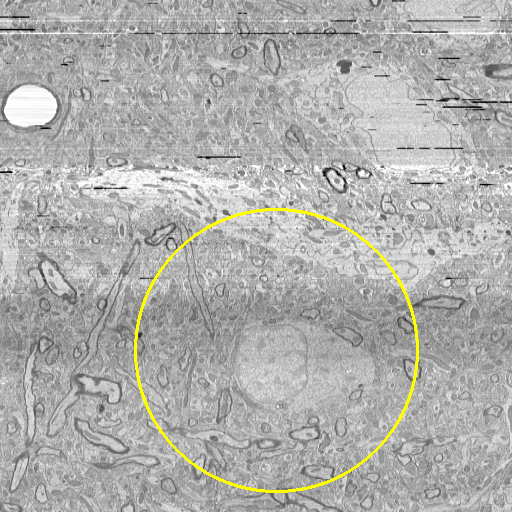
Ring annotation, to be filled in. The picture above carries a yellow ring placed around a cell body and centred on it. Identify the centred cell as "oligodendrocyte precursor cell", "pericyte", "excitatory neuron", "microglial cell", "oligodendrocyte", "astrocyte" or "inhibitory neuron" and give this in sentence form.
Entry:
The cell in the middle of the ring is an oligodendrocyte.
